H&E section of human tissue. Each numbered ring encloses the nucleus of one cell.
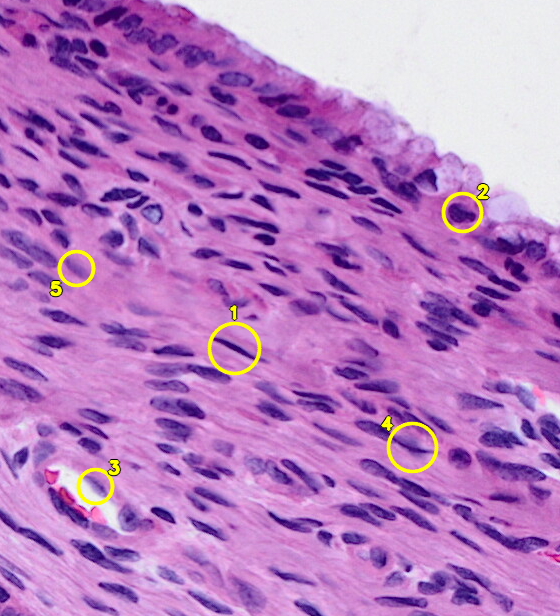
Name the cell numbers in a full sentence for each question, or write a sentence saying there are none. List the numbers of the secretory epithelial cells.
Cell 2, and no other numbered cell, is a secretory epithelial cell.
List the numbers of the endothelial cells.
As for the numbered cells, only cell 3 is an endothelial cell.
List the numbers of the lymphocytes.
Among the numbered cells, there are no lymphocytes.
